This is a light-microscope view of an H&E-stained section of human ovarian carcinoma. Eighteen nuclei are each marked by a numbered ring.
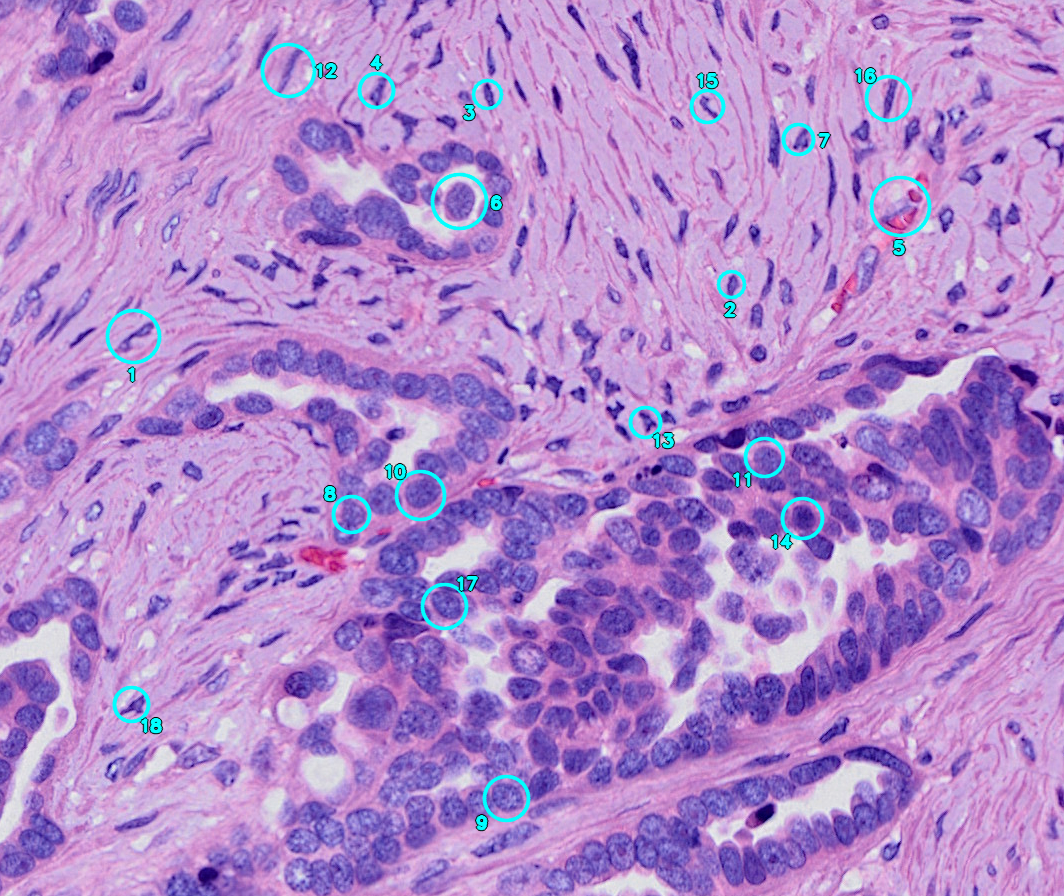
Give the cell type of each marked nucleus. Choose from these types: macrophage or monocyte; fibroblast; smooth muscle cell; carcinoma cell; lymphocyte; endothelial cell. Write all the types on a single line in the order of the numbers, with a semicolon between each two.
fibroblast; fibroblast; fibroblast; fibroblast; endothelial cell; carcinoma cell; fibroblast; carcinoma cell; carcinoma cell; carcinoma cell; carcinoma cell; fibroblast; fibroblast; carcinoma cell; fibroblast; fibroblast; carcinoma cell; fibroblast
